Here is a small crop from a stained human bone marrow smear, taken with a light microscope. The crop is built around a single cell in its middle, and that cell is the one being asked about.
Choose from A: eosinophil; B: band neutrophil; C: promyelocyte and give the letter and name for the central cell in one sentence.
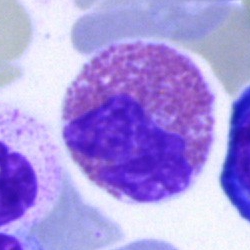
Option A correctly names the cell in the middle as an eosinophil.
